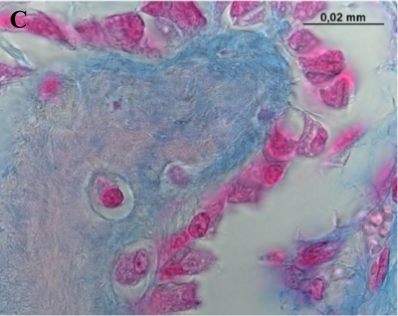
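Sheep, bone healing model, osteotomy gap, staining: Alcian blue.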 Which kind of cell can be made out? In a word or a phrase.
osteoblasts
